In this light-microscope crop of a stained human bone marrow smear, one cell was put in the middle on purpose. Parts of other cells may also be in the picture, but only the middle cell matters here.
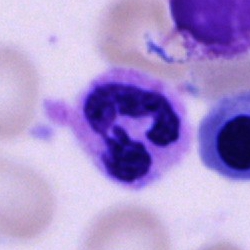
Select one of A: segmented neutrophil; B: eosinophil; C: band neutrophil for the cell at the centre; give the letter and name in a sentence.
The central cell in this crop is a segmented neutrophil, corresponding to option A, the correct option.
